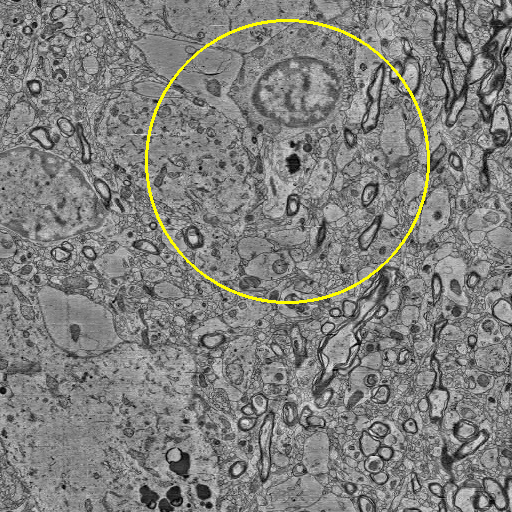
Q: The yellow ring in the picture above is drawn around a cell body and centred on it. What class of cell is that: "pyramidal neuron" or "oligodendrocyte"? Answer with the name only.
oligodendrocyte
